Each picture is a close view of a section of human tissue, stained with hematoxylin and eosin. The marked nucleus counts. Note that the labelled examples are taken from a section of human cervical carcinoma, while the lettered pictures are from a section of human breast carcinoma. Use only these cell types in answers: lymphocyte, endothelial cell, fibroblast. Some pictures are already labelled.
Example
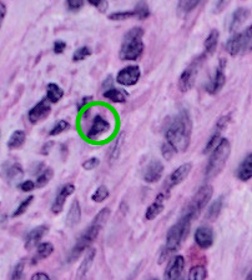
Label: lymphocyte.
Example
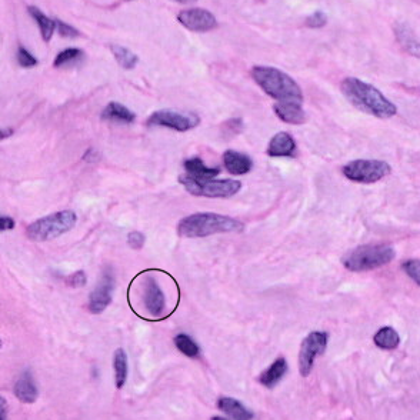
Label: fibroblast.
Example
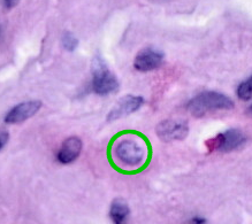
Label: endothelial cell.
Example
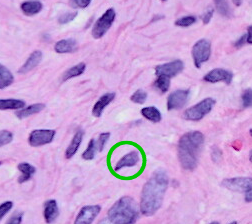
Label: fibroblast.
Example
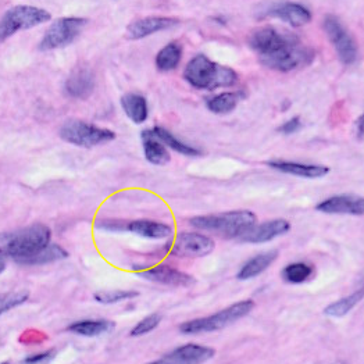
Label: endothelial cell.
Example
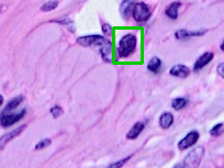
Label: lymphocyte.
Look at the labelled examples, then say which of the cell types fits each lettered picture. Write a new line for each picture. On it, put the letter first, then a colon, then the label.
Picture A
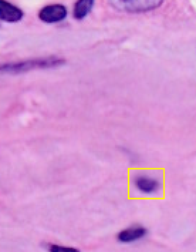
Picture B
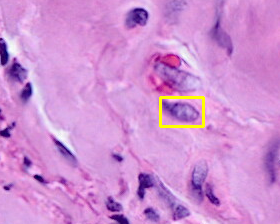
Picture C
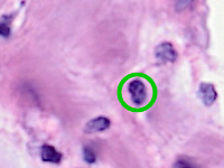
A: lymphocyte.
B: endothelial cell.
C: lymphocyte.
